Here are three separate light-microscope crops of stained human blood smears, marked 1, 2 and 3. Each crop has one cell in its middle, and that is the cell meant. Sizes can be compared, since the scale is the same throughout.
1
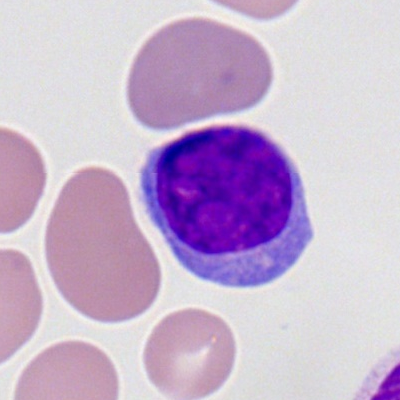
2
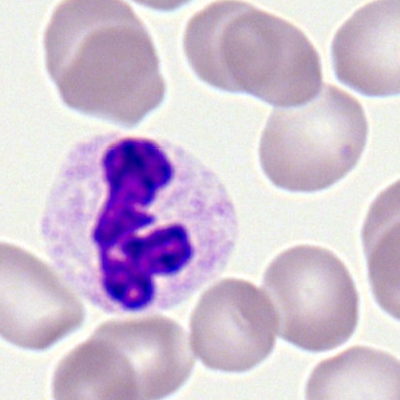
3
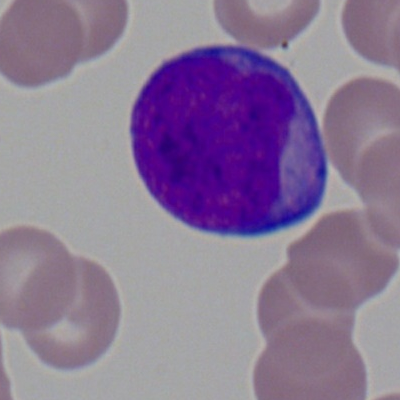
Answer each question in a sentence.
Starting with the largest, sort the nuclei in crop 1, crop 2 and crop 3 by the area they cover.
Going down, they run 3, 1, 2.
